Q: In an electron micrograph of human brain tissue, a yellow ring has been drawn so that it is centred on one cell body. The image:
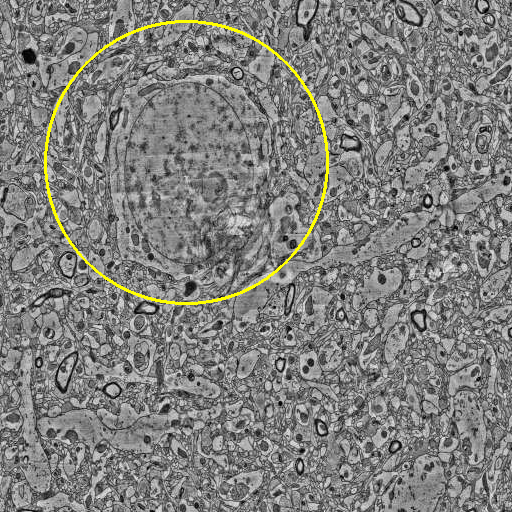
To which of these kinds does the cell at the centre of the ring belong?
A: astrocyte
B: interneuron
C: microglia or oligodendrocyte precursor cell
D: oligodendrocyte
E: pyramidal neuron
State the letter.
E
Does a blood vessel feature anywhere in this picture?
No, there is no blood vessel in the image.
